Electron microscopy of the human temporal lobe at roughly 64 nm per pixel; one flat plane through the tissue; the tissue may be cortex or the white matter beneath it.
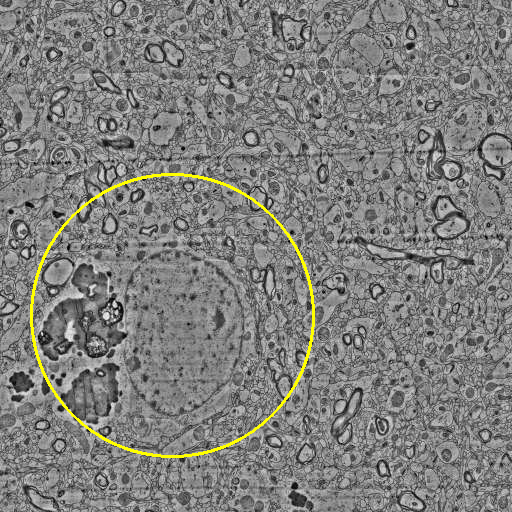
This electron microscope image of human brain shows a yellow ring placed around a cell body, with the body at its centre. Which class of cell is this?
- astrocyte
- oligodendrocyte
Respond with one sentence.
The cell body at the ring's centre is an astrocyte.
